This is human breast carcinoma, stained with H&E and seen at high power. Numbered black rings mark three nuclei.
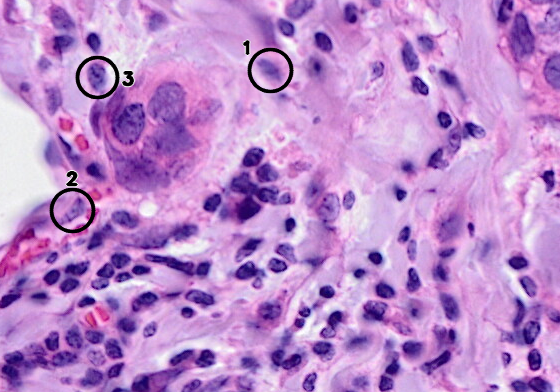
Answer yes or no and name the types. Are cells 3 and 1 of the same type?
Yes, cell 3 is one of the mast cells, and so is cell 1.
